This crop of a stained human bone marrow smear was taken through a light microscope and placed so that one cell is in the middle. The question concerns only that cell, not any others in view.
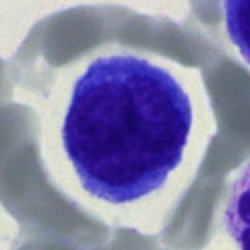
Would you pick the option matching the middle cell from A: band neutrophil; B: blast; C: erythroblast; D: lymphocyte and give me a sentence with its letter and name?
The centrally located cell is a blast, making option B the correct choice.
